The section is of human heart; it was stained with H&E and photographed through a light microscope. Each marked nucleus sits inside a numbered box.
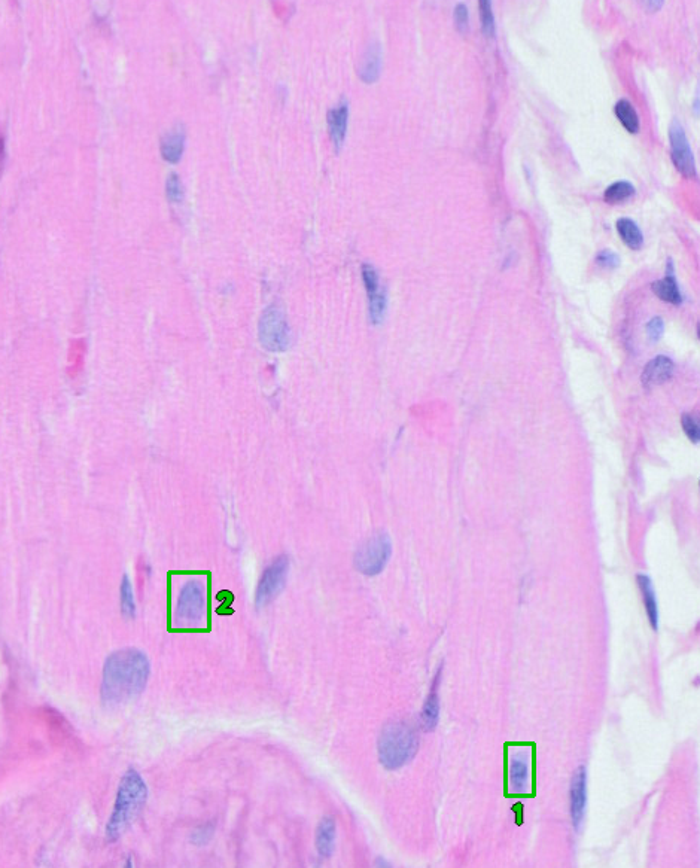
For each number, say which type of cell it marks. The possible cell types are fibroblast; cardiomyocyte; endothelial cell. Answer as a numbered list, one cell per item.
1. endothelial cell
2. cardiomyocyte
